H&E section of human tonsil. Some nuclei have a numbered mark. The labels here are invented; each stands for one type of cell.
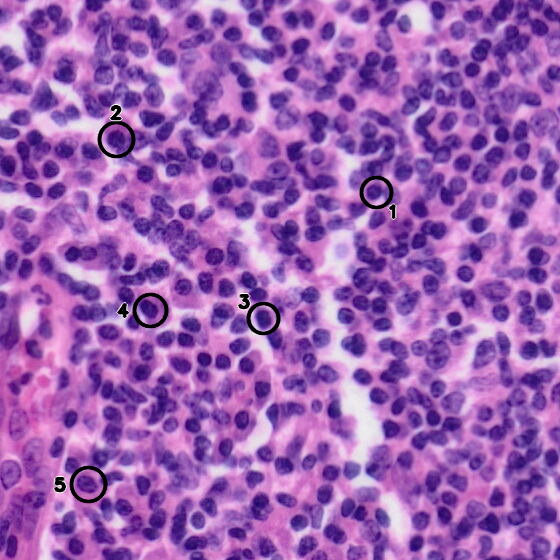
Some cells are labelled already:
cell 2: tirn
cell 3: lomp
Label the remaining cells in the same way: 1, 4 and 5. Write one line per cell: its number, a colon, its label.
1: lomp
4: tirn
5: tirn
